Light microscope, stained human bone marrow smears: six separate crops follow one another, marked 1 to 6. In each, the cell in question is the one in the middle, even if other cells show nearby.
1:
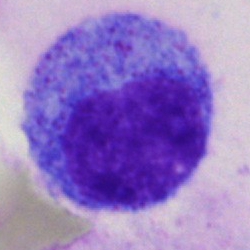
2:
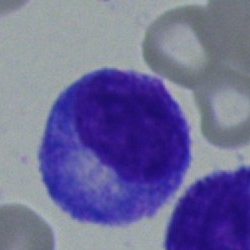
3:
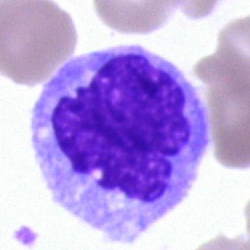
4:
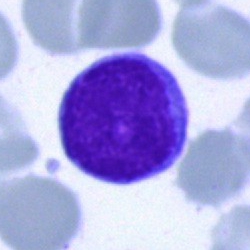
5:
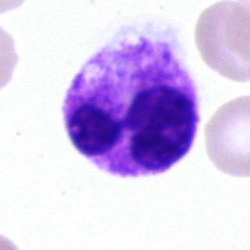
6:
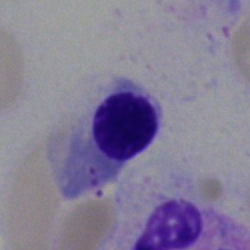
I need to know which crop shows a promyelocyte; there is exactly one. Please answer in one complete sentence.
The crop marked 1 is the one that shows a promyelocyte.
